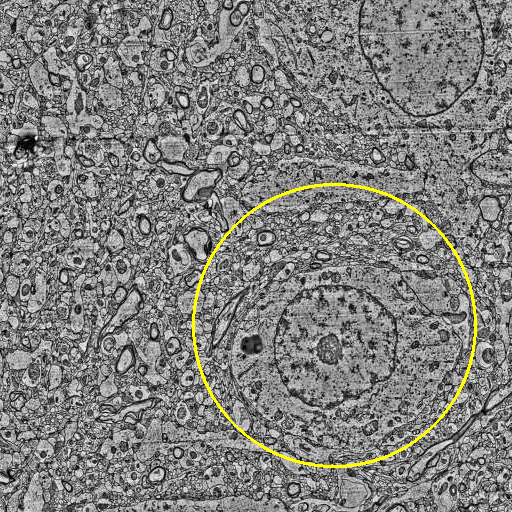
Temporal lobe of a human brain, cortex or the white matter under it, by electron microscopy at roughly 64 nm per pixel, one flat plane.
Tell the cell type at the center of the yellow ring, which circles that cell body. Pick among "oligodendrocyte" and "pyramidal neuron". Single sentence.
The ring is centered on the body of a pyramidal neuron.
